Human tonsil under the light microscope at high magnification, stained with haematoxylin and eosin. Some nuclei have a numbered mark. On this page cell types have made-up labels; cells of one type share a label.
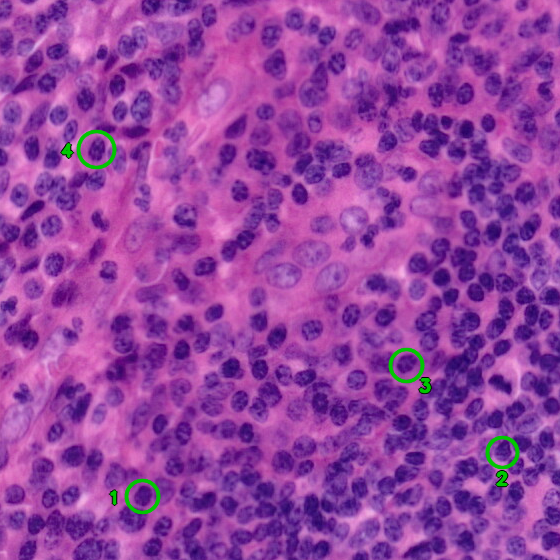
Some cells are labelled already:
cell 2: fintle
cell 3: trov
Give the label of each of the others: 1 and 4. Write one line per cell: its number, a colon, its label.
1: trov
4: trov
